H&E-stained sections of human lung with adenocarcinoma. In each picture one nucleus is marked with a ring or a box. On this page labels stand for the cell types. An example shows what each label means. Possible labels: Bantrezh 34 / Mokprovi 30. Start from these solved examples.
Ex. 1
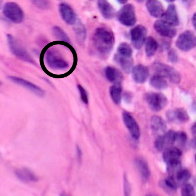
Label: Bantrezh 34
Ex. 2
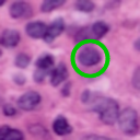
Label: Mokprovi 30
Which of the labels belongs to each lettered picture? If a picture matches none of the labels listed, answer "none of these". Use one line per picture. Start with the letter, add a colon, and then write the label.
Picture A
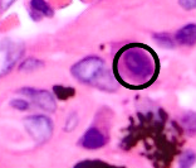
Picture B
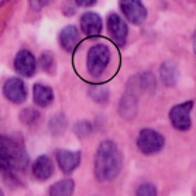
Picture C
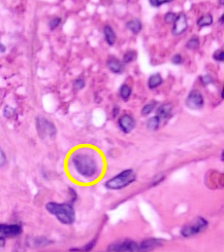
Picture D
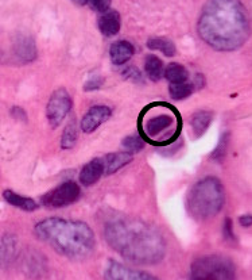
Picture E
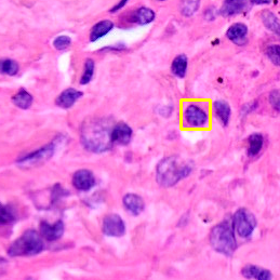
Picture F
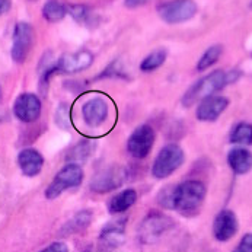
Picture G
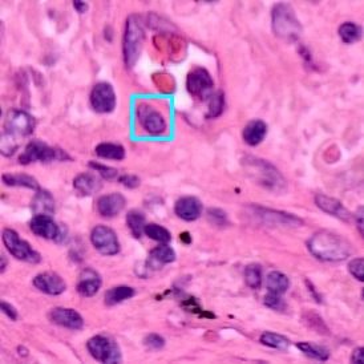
A: Bantrezh 34
B: Mokprovi 30
C: none of these
D: Mokprovi 30
E: none of these
F: Mokprovi 30
G: none of these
